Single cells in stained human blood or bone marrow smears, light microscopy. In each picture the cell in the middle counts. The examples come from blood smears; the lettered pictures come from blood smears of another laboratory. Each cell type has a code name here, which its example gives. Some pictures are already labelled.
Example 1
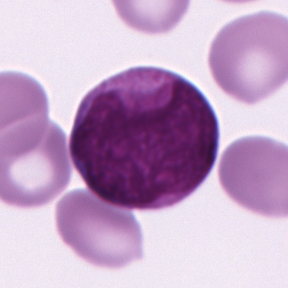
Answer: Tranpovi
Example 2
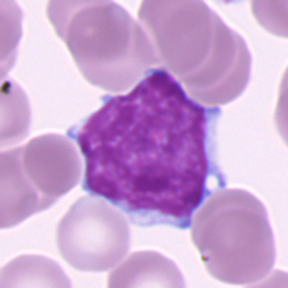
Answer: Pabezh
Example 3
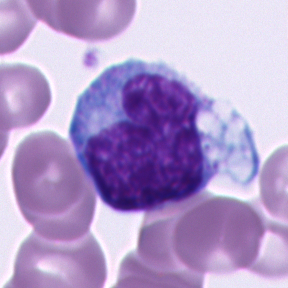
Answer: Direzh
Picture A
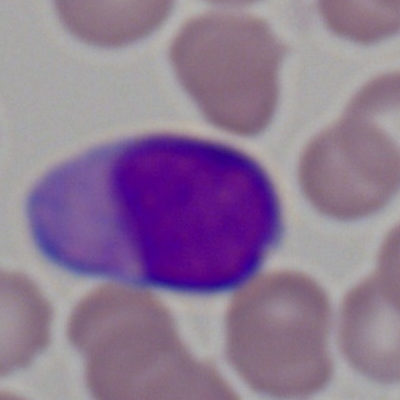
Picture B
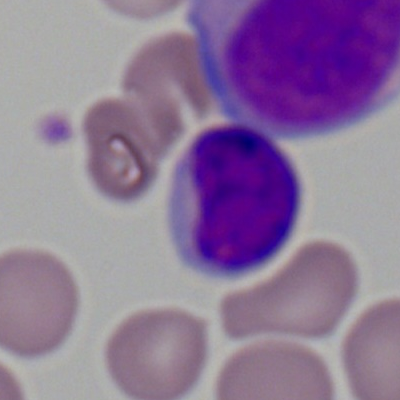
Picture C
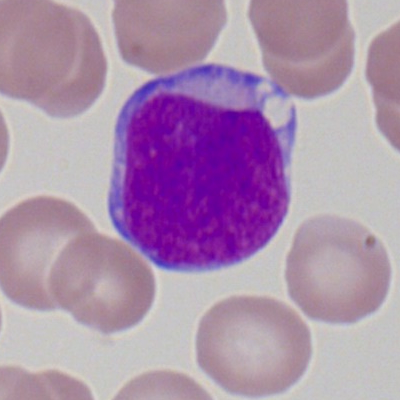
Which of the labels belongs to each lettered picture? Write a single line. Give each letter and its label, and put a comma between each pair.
A Tranpovi, B Pabezh, C Tranpovi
